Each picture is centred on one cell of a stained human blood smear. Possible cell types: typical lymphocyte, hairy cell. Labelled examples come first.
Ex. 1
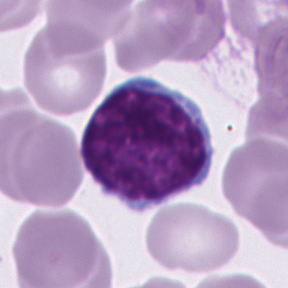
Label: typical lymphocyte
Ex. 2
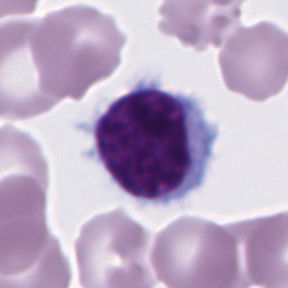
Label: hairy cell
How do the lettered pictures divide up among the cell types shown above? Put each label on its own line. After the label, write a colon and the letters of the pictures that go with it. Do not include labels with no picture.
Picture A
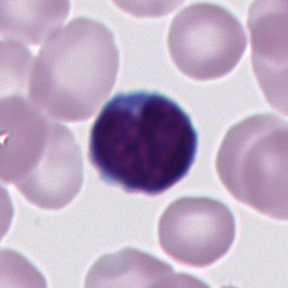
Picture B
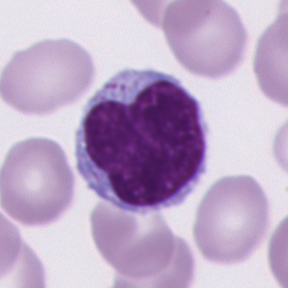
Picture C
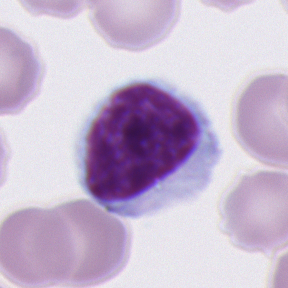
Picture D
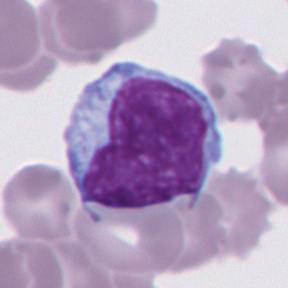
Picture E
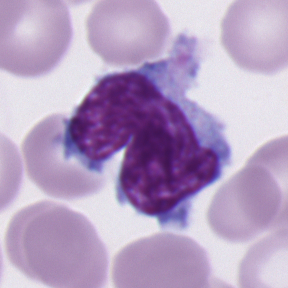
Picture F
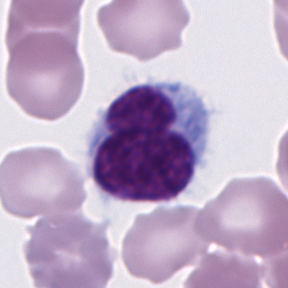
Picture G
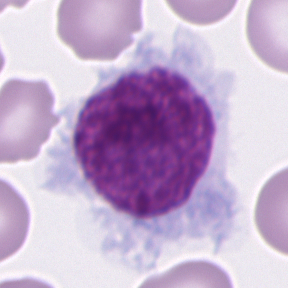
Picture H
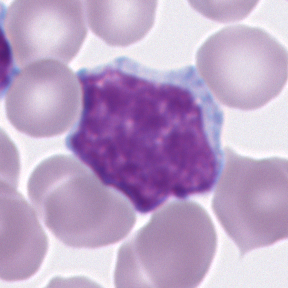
typical lymphocyte: A, B, C, D, E, H
hairy cell: F, G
